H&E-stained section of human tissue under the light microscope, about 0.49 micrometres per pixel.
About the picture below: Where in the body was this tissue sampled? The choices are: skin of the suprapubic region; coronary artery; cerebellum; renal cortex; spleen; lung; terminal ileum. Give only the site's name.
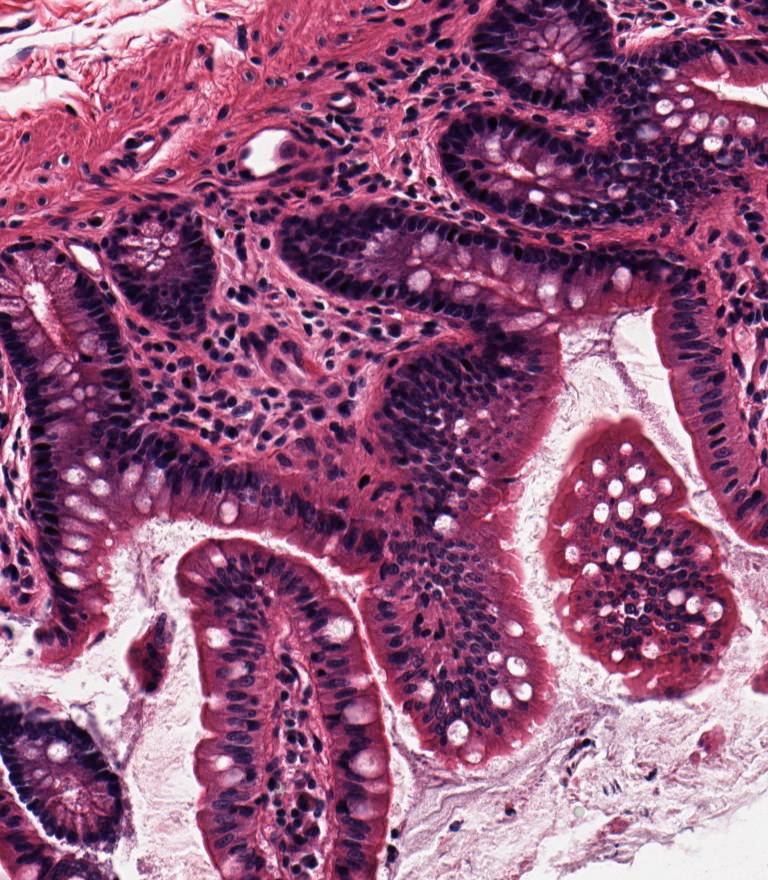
terminal ileum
